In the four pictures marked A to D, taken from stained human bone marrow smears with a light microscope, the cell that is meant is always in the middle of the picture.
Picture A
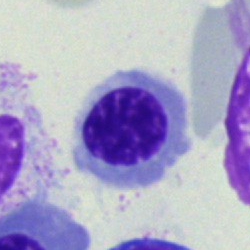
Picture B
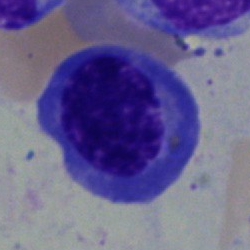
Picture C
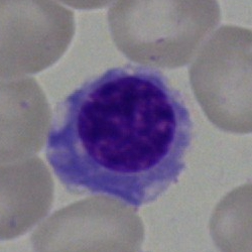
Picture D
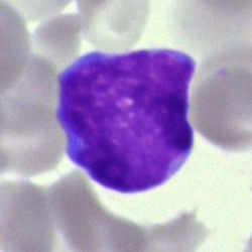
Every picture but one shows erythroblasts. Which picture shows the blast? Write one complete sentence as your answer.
The picture with the blast is D.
